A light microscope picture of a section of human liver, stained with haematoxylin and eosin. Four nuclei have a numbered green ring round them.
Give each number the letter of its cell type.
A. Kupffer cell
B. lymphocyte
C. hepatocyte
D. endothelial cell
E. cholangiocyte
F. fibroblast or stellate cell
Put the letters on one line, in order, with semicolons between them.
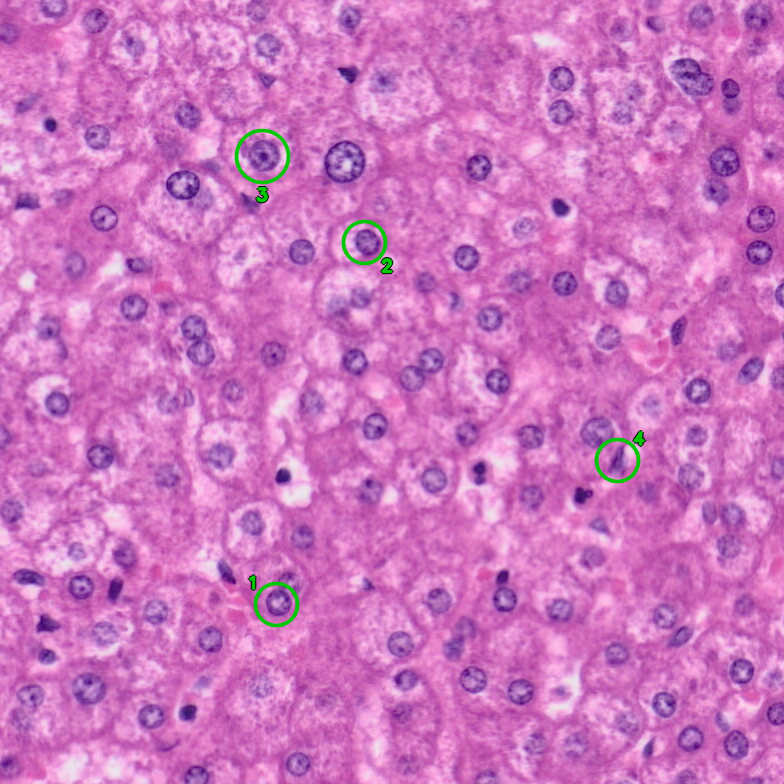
C; C; C; D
